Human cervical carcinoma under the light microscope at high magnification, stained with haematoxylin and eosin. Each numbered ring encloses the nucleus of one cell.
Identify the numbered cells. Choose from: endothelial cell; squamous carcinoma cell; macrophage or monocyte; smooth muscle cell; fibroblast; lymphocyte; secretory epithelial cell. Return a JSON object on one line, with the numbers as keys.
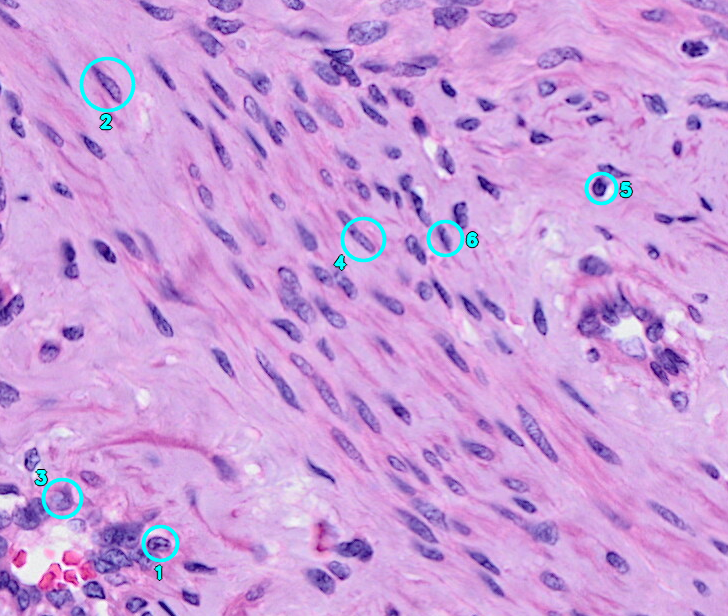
{"1": "endothelial cell", "2": "smooth muscle cell", "3": "endothelial cell", "4": "smooth muscle cell", "5": "lymphocyte", "6": "fibroblast"}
